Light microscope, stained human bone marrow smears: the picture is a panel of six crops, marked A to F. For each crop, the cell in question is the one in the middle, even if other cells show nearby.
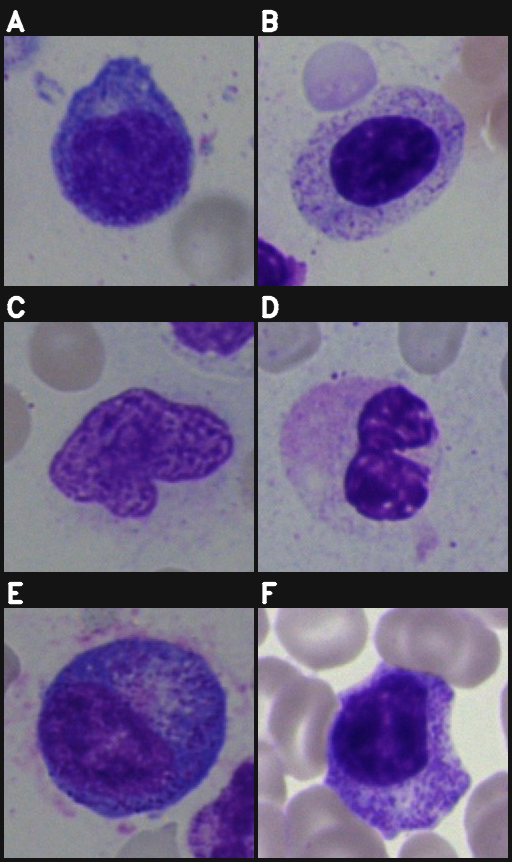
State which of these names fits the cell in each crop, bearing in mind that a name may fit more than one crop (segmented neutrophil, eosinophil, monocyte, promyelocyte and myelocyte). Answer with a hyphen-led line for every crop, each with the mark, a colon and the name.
- A: promyelocyte
- B: myelocyte
- C: monocyte
- D: segmented neutrophil
- E: promyelocyte
- F: myelocyte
